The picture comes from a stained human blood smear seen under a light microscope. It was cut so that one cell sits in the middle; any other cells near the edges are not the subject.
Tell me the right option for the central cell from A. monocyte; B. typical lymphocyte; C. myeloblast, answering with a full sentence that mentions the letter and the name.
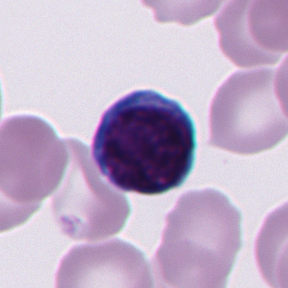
In this crop the middle cell is a typical lymphocyte, so option B is the correct answer.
